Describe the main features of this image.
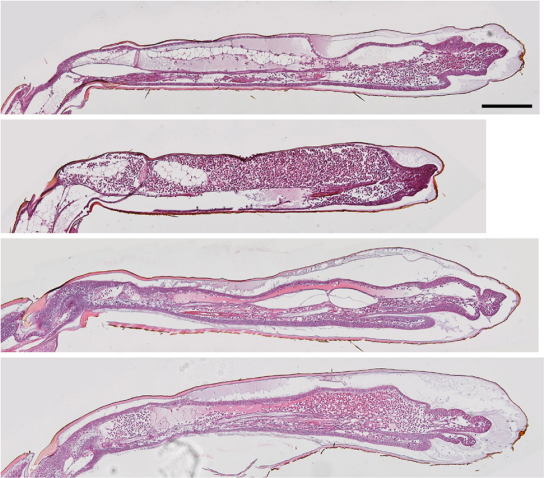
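Small round cells with dark purple nuclei lie loosely scattered in the lumen of most sections. In the second section from the top these small cells are packed into a dense purple mass that fills much of the lumen. The other sections show fewer of them, with more pink tissue and open space between.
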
